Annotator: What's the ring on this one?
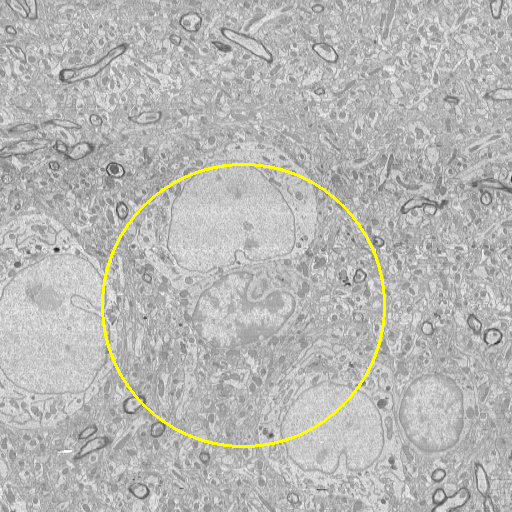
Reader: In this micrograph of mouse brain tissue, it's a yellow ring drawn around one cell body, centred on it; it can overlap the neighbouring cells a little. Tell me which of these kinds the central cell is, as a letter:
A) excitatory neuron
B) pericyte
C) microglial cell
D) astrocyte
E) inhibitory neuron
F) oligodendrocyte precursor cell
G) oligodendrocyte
G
